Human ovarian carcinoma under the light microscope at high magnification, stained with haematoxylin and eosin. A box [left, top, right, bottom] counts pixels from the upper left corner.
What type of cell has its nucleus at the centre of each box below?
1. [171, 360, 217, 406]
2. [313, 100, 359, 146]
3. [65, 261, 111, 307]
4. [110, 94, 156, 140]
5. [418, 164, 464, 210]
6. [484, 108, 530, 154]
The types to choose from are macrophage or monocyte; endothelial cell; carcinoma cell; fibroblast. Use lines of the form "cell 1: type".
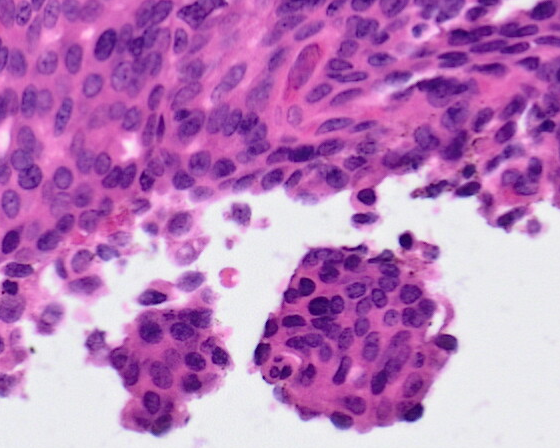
cell 1: carcinoma cell
cell 2: endothelial cell
cell 3: carcinoma cell
cell 4: carcinoma cell
cell 5: macrophage or monocyte
cell 6: carcinoma cell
